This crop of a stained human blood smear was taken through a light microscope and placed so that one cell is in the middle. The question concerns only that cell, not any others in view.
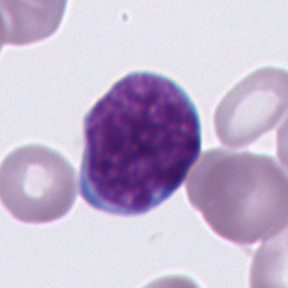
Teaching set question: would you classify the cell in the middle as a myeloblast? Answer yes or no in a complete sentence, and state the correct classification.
Yes, what sits in the centre of the crop is a myeloblast.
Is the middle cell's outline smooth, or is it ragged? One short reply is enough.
Smooth outline, no projections: that is the whole story of its edge.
